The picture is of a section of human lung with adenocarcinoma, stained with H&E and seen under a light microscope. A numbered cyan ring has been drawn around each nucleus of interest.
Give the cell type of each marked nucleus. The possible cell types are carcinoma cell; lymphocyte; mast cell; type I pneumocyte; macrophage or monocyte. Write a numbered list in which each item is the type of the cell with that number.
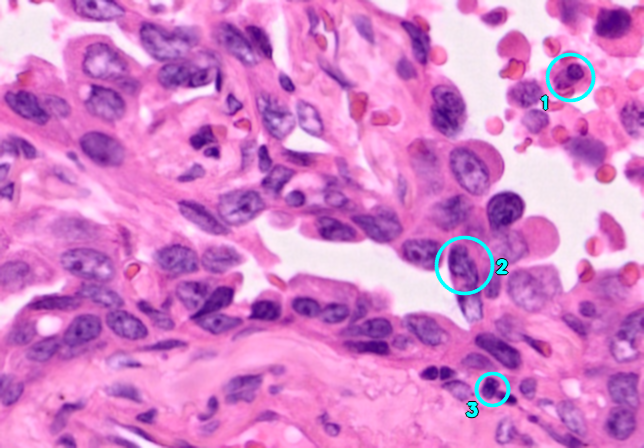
1. macrophage or monocyte
2. carcinoma cell
3. lymphocyte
